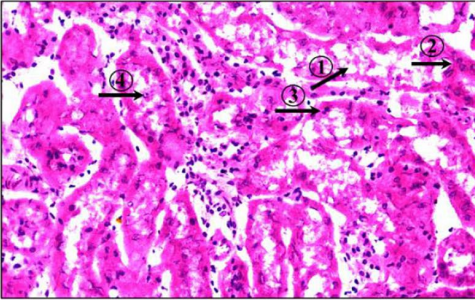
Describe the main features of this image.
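This is renal cortex with injured tubules lined by epithelial cells whose cytoplasm is pale pink and broken up by clear vacuoles or fine granules. Many tubule cells look swollen and frothy, and some nuclei are shrunken and densely dark purple. Loose, pale material and detached cells lie in some tubule lumens, and between the tubules the interstitium holds many small dark nuclei.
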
